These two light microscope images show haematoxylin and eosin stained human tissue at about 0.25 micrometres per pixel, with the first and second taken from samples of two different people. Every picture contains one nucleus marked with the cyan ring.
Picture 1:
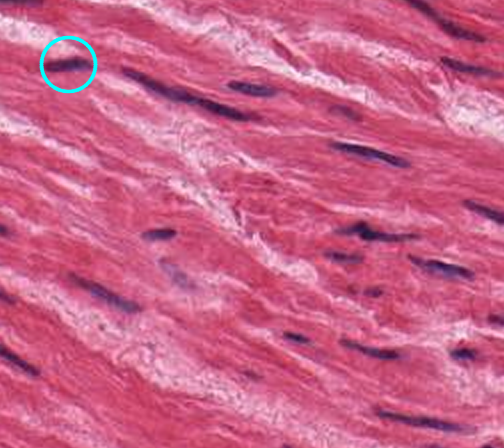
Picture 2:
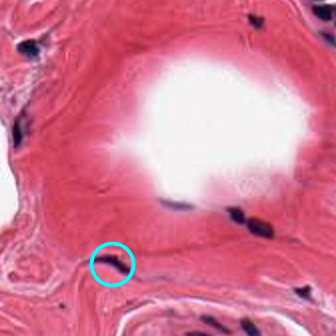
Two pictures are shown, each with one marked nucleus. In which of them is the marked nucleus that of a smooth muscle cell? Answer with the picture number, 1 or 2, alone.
1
